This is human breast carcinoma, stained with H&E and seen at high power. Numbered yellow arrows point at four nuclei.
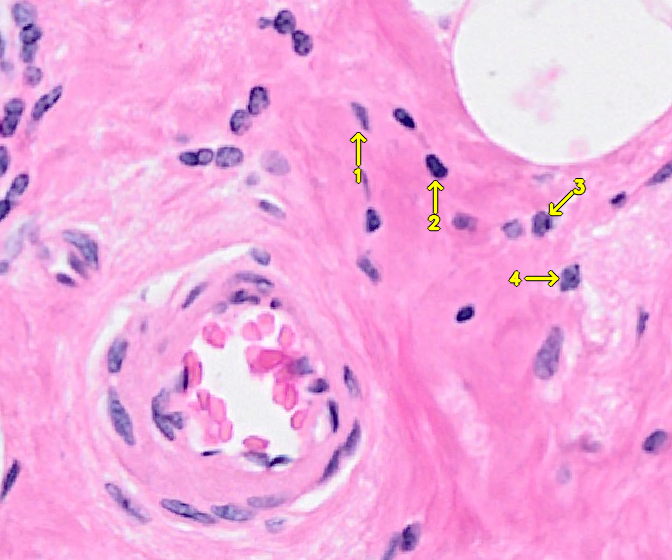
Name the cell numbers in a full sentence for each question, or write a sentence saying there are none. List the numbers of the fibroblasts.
Cell 1 is a fibroblast, and it is the only numbered cell that is.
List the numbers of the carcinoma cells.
In the set of numbered cells, carcinoma cells are not found.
